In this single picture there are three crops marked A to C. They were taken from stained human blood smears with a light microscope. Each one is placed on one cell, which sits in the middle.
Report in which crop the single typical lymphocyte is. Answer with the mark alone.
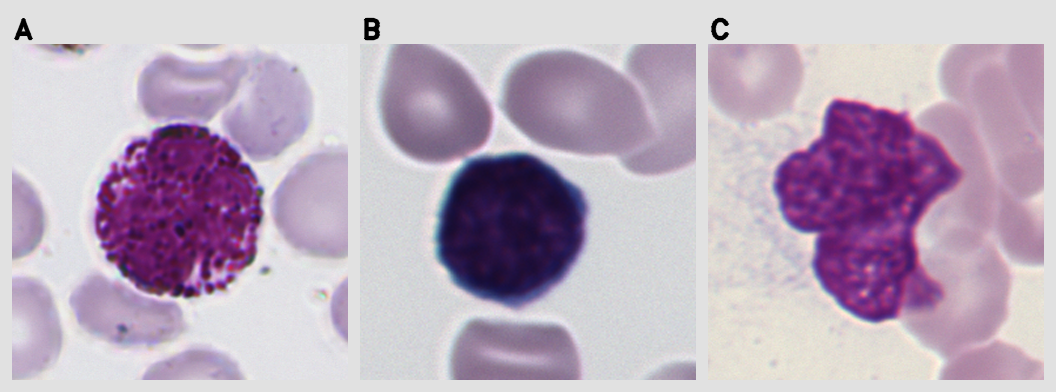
B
